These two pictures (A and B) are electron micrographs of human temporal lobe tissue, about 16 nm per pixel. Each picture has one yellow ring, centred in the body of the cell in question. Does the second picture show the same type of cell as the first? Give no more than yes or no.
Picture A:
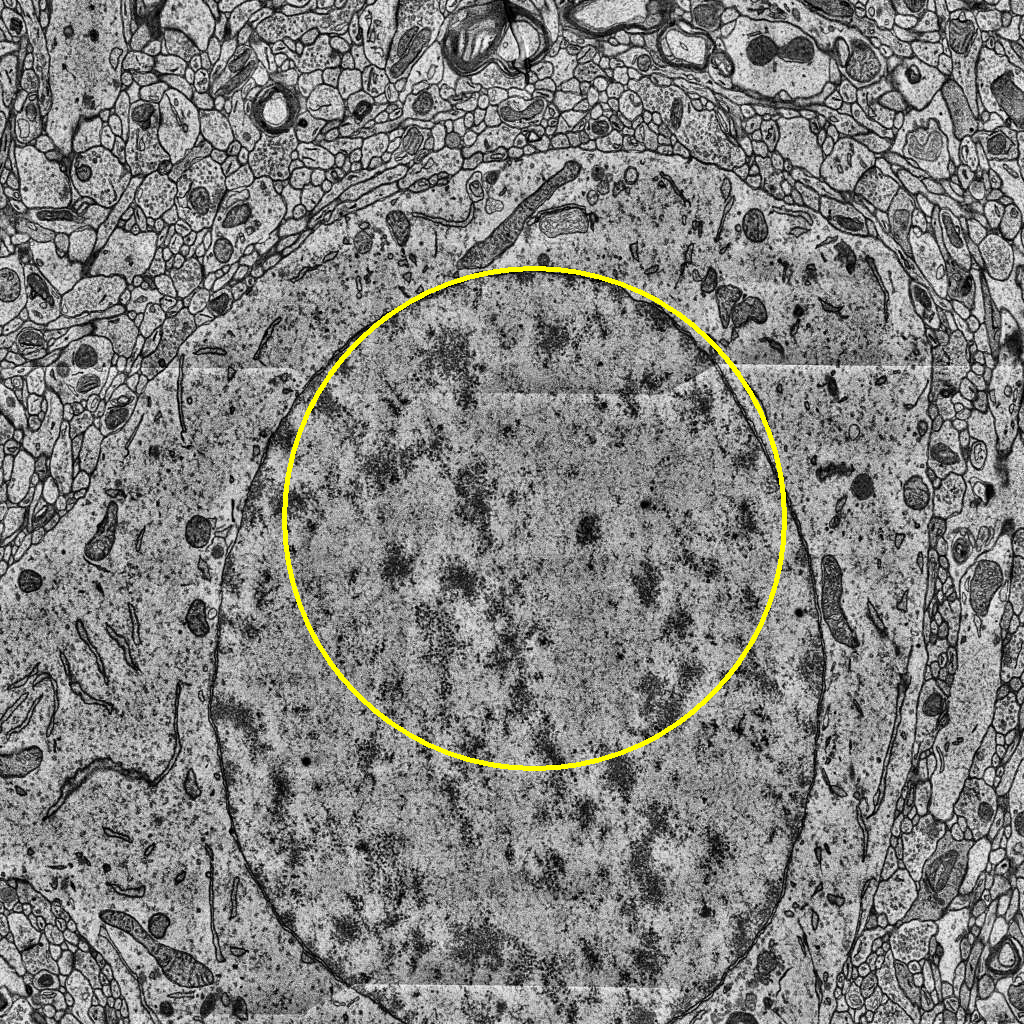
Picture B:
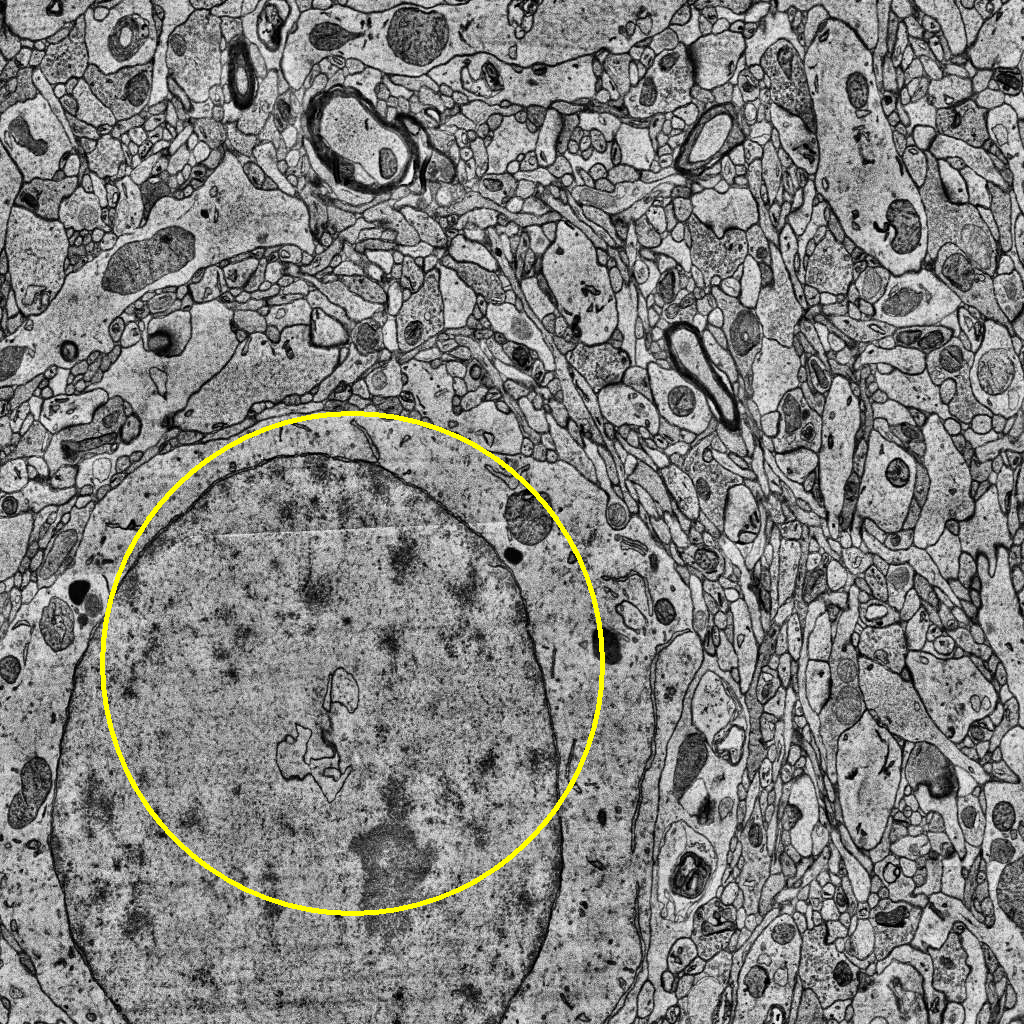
yes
